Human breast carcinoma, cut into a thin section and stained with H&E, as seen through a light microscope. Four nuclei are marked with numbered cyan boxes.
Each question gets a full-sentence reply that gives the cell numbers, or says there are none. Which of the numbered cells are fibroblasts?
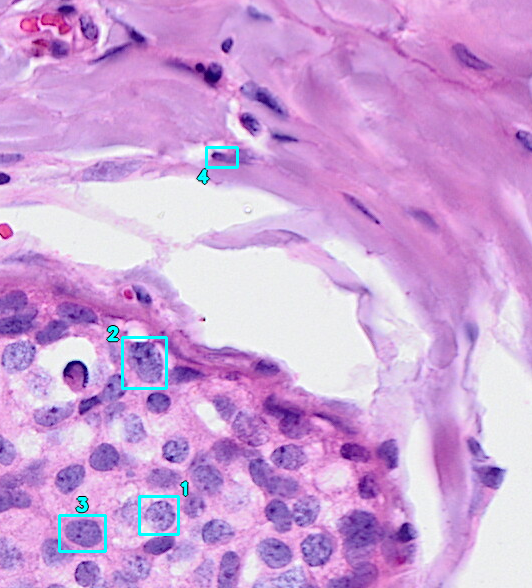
Only the cell marked 4 is a fibroblast.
